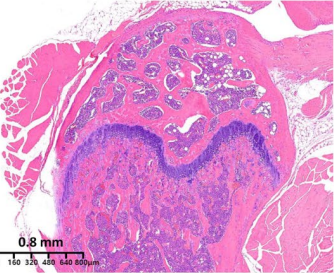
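A wavy band of cartilage, stained deep purple, crosses the middle of the bone and separates two regions of spongy bone. Pink bony trabeculae enclose spaces filled with purple-staining marrow cells and scattered clear spaces. Bundles of pink skeletal muscle lie at the left edge, and pale loose connective and fatty tissue lies at the right.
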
